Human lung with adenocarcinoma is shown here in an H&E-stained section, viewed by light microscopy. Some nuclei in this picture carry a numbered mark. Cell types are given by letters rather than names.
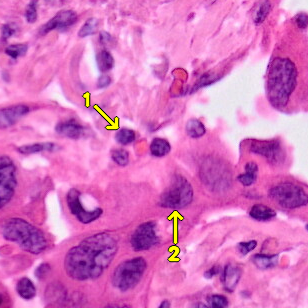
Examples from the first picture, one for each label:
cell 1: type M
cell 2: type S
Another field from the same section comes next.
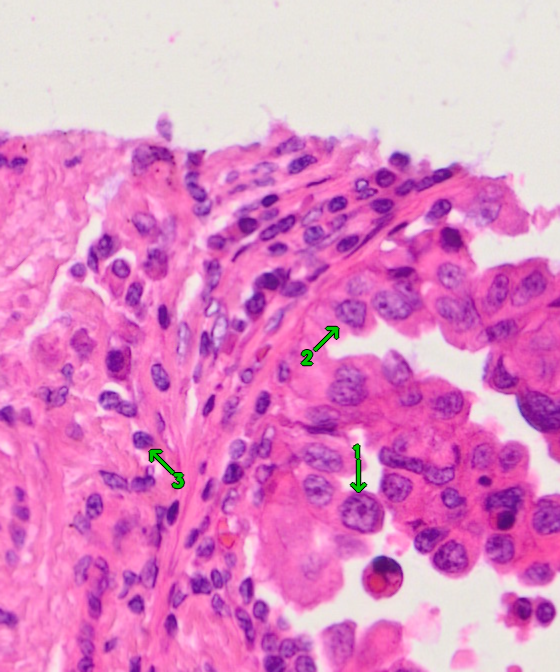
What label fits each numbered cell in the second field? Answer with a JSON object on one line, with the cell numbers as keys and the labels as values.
{"1": "type S", "2": "type S", "3": "type M"}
